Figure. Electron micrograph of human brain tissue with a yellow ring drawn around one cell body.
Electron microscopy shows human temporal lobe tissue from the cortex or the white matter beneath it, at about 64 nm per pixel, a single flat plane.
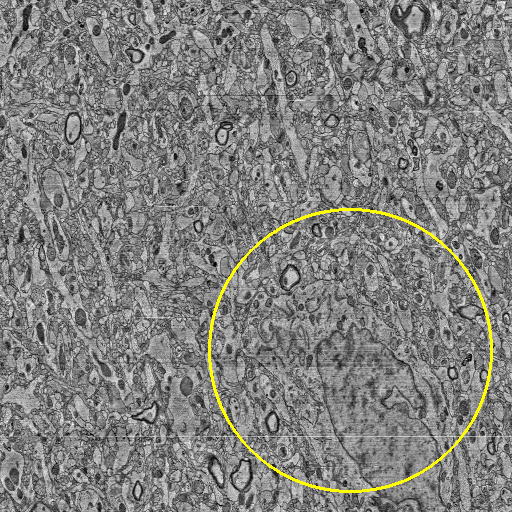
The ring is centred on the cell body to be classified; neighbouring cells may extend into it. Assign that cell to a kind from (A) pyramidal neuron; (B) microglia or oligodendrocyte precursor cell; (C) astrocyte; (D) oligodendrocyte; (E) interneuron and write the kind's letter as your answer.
E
